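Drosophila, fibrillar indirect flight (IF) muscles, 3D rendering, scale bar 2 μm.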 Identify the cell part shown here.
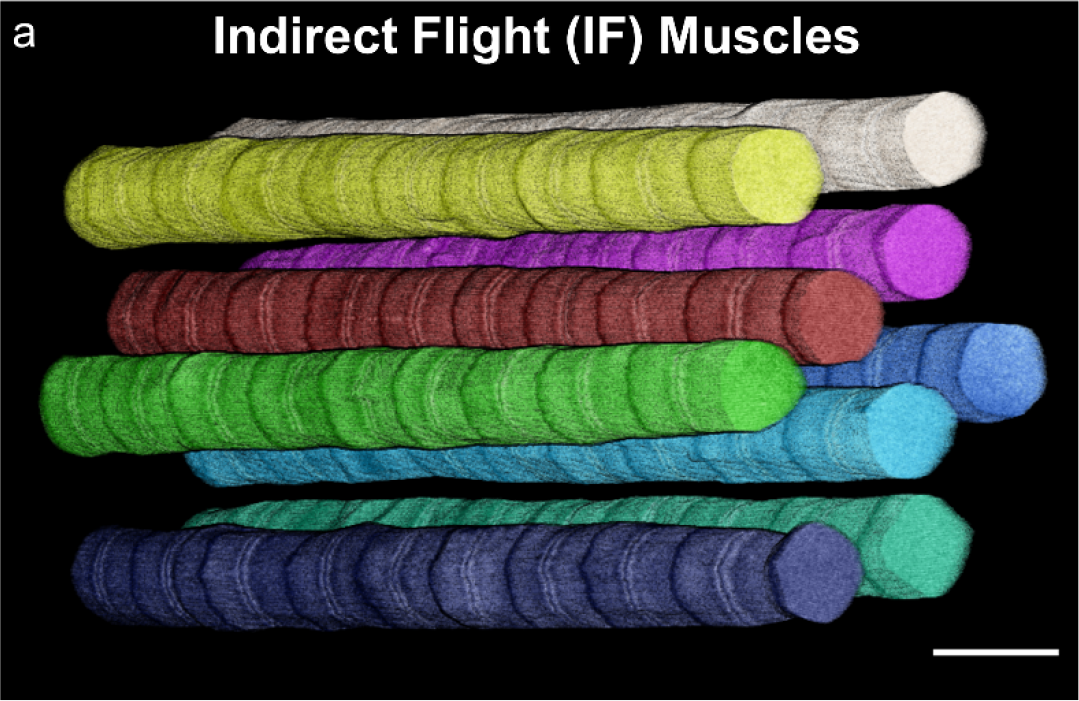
Isolated myofibrils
